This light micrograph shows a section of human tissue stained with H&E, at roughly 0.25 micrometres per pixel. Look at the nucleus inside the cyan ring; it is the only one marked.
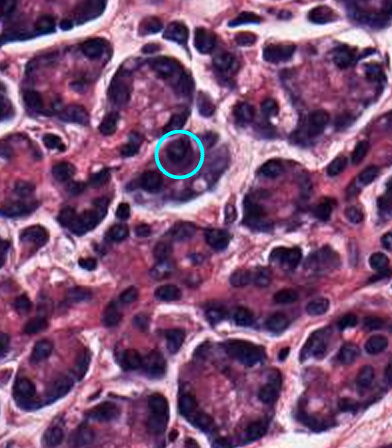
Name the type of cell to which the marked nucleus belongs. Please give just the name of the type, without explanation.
pancreatic acinar cell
